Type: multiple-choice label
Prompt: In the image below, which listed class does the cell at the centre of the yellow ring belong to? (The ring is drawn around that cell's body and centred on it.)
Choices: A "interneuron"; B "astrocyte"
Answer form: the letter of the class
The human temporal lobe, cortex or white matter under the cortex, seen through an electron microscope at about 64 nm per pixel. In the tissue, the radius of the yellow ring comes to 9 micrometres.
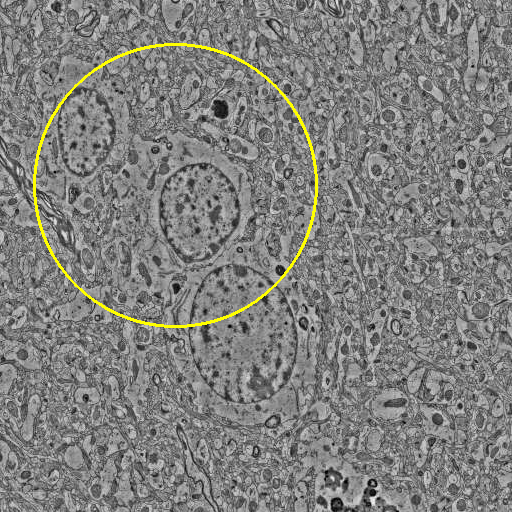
B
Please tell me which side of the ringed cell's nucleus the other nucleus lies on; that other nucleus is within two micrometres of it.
The other nucleus is found below it.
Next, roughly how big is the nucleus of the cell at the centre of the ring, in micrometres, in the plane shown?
In this plane, roughly 6 by 5 micrometres.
